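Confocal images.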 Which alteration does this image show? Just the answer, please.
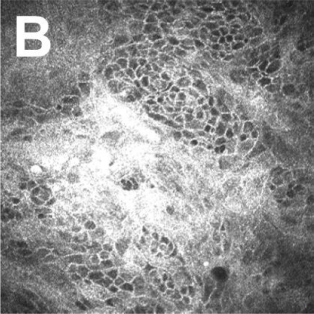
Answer: Subepithelial fibrosis.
